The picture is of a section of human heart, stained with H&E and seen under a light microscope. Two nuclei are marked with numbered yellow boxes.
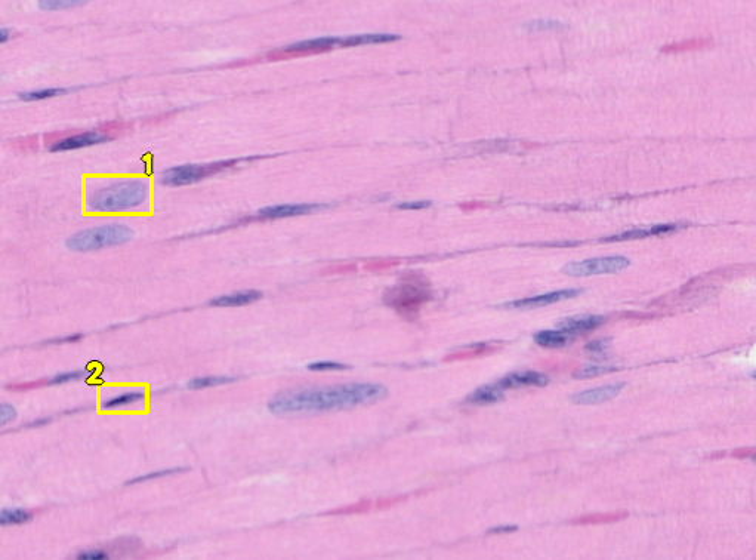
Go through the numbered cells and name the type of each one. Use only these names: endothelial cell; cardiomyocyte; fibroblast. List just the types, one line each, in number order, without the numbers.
cardiomyocyte
endothelial cell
